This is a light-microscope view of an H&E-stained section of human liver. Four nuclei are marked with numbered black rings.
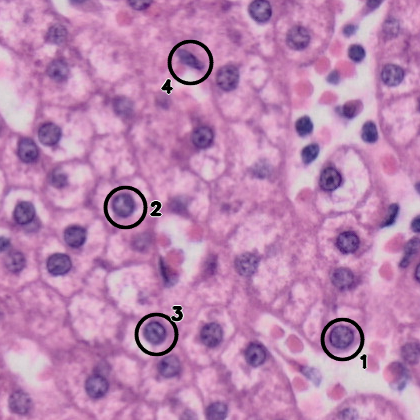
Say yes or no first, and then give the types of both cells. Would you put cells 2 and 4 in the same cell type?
No, cell 2 is to be identified as a hepatocyte and cell 4 as a fibroblast or stellate cell.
